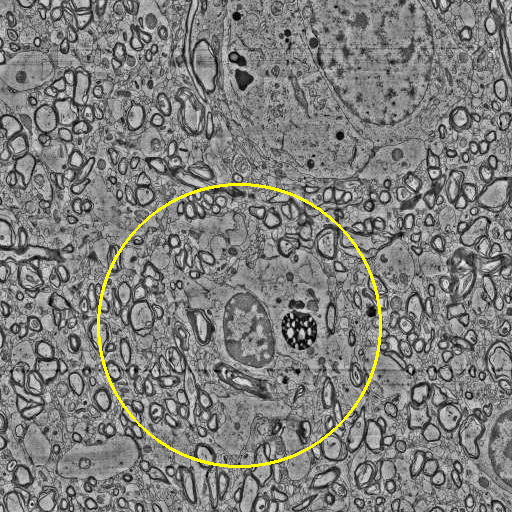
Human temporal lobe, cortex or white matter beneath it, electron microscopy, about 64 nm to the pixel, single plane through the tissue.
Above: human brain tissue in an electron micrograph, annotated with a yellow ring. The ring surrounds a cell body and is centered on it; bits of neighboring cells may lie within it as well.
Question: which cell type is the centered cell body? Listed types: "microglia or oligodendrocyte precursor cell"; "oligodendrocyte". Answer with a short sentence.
The centered cell body is a microglial cell or oligodendrocyte precursor cell.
